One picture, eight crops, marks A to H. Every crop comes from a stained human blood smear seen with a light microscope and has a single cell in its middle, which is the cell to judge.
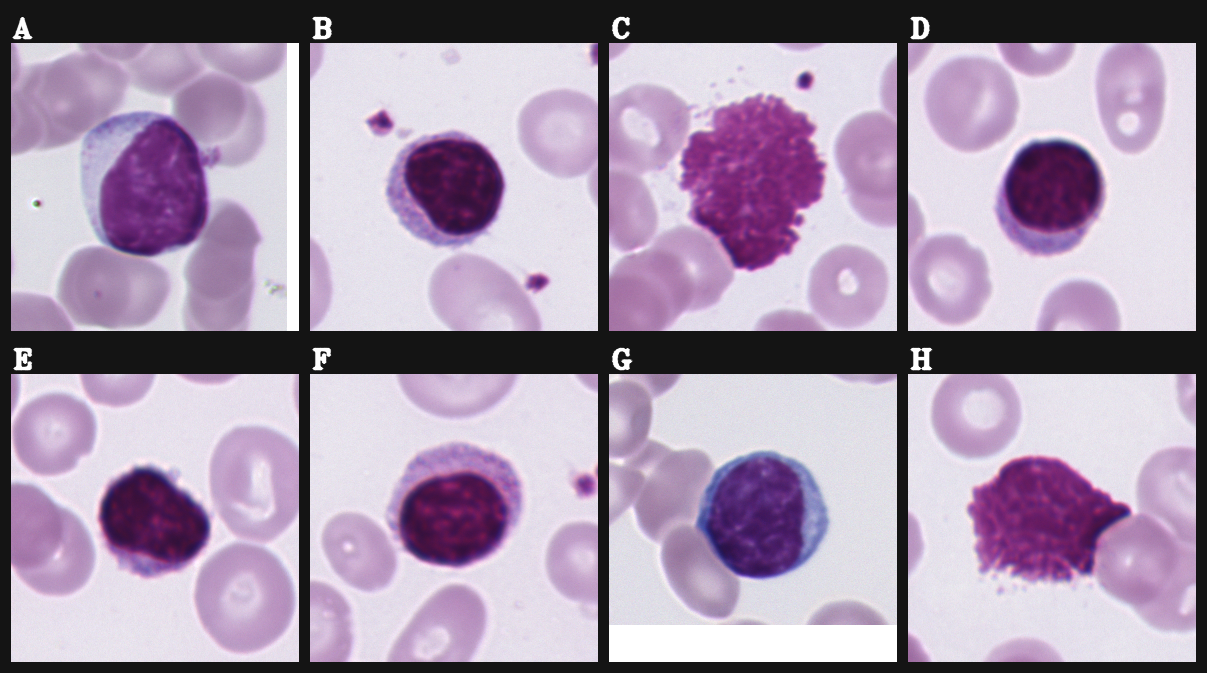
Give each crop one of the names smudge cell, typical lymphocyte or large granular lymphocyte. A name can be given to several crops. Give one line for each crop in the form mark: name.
A: large granular lymphocyte
B: typical lymphocyte
C: smudge cell
D: typical lymphocyte
E: typical lymphocyte
F: large granular lymphocyte
G: typical lymphocyte
H: smudge cell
